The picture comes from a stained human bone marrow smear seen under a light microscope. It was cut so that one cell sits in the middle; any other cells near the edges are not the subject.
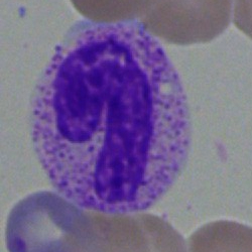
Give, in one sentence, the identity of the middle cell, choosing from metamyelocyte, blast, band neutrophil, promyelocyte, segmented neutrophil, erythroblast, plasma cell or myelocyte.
In this crop, the cell at the very middle is a band neutrophil.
